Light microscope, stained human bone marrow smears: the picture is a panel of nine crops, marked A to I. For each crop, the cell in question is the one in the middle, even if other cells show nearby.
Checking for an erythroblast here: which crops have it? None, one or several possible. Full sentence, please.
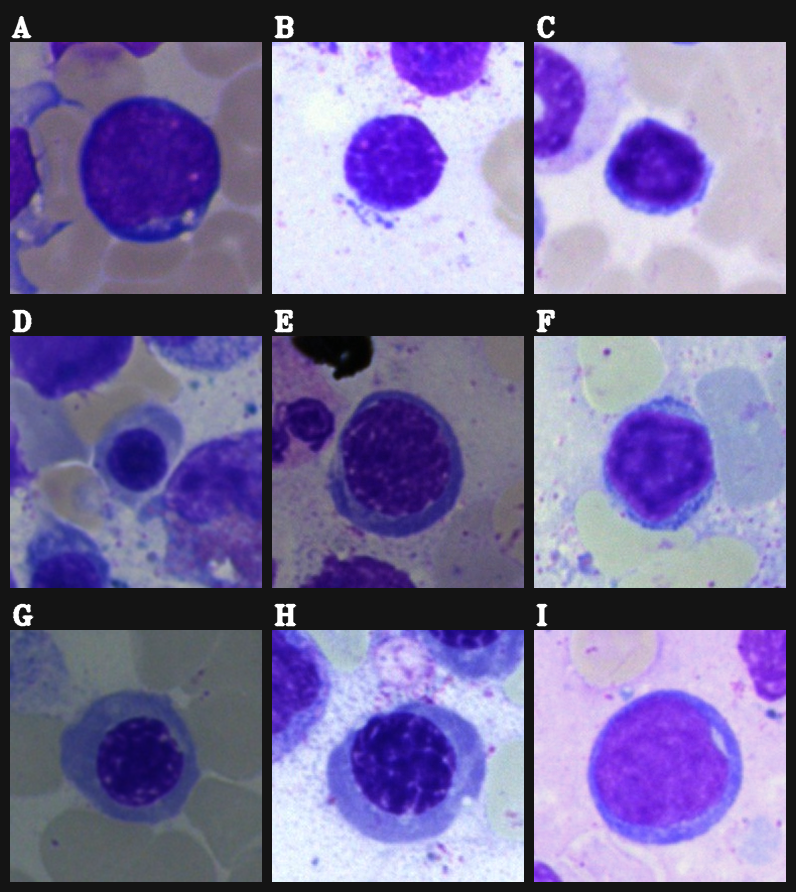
Crops D, E, G and H depict erythroblasts in the middle.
